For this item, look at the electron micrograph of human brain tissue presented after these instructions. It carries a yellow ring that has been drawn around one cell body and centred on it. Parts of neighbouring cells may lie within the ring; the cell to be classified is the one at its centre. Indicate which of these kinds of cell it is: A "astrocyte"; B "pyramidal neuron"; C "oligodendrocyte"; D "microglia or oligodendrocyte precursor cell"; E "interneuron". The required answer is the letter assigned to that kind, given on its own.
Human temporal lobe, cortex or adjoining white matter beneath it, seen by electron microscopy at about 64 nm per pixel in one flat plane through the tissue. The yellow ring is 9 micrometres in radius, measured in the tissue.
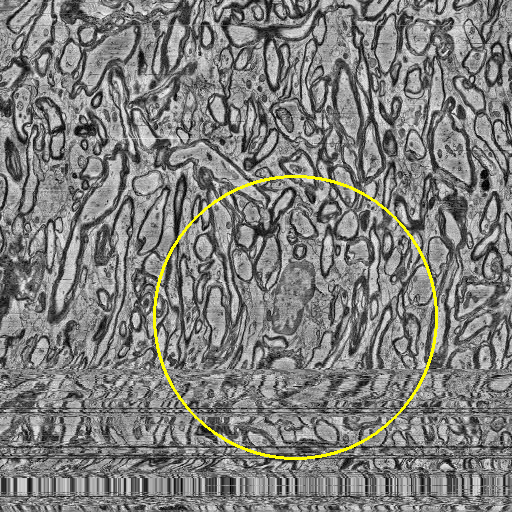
D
